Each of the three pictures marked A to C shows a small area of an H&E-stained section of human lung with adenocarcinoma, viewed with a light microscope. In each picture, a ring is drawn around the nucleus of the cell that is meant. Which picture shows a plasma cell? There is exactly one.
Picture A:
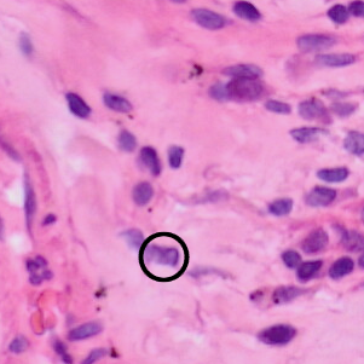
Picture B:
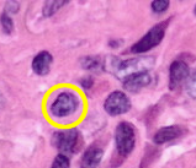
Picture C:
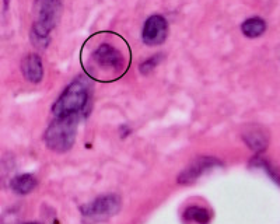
C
